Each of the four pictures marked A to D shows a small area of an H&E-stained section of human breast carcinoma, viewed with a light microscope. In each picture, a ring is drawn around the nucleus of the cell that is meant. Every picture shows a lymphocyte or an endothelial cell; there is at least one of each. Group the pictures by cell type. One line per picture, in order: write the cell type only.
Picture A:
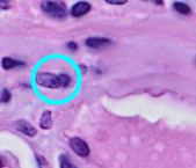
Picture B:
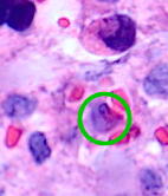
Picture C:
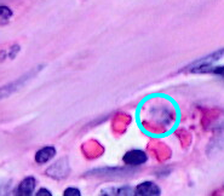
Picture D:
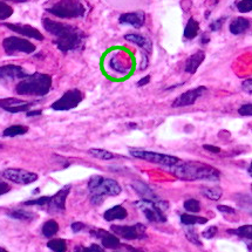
lymphocyte
endothelial cell
endothelial cell
endothelial cell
